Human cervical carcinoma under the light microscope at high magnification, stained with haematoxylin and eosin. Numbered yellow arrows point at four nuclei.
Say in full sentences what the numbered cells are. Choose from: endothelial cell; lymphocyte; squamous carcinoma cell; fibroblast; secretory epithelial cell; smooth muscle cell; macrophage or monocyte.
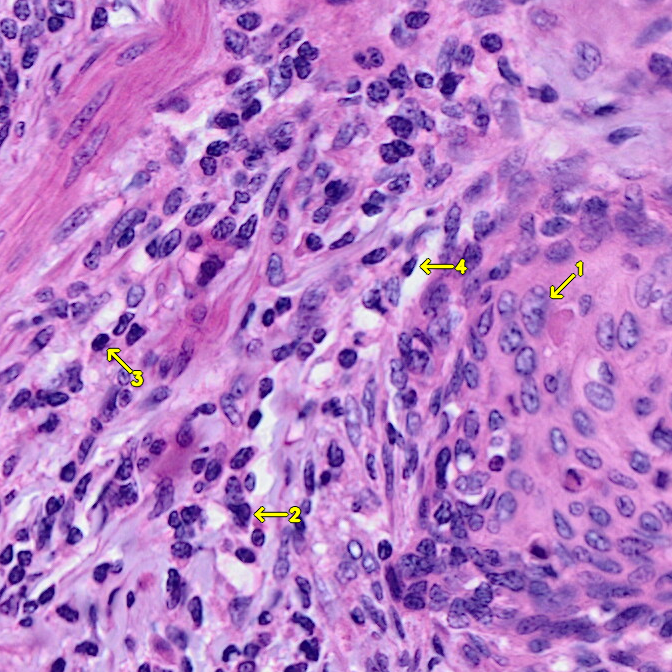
Cell 1 is a squamous carcinoma cell, cell 2 is a lymphocyte, cell 3 is a lymphocyte and cell 4 is a lymphocyte.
